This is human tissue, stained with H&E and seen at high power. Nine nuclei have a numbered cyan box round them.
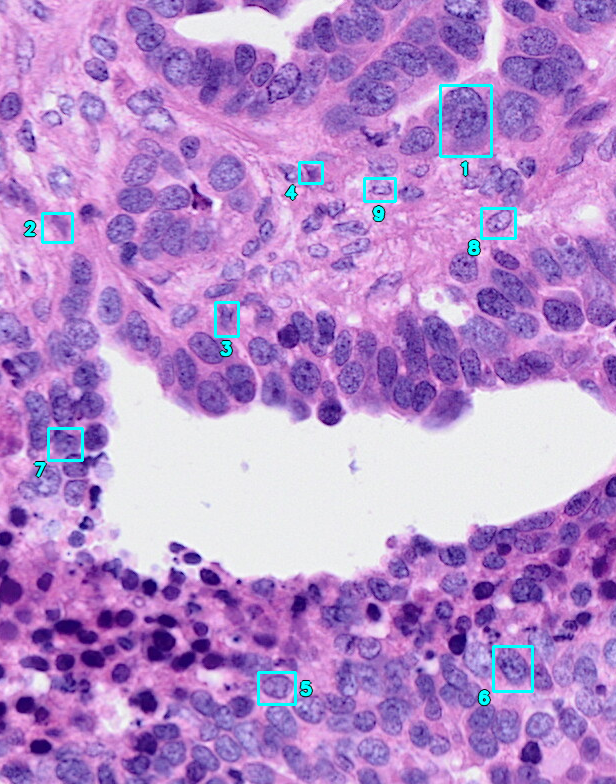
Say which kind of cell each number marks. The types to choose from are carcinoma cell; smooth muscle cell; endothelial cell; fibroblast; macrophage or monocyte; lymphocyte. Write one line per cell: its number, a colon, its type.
1: carcinoma cell
2: fibroblast
3: fibroblast
4: fibroblast
5: carcinoma cell
6: carcinoma cell
7: carcinoma cell
8: fibroblast
9: fibroblast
